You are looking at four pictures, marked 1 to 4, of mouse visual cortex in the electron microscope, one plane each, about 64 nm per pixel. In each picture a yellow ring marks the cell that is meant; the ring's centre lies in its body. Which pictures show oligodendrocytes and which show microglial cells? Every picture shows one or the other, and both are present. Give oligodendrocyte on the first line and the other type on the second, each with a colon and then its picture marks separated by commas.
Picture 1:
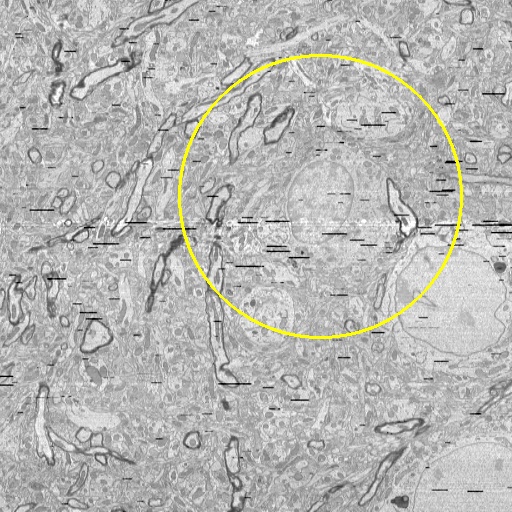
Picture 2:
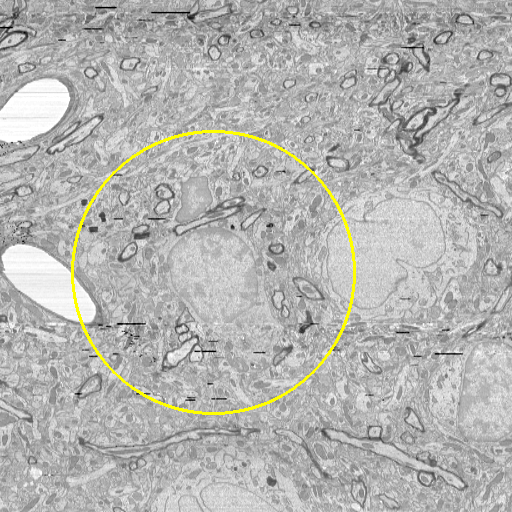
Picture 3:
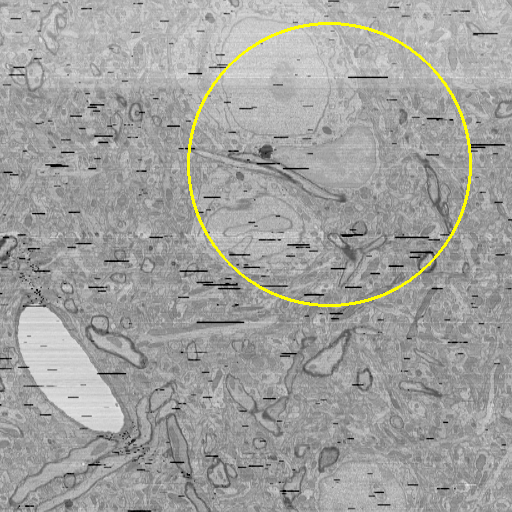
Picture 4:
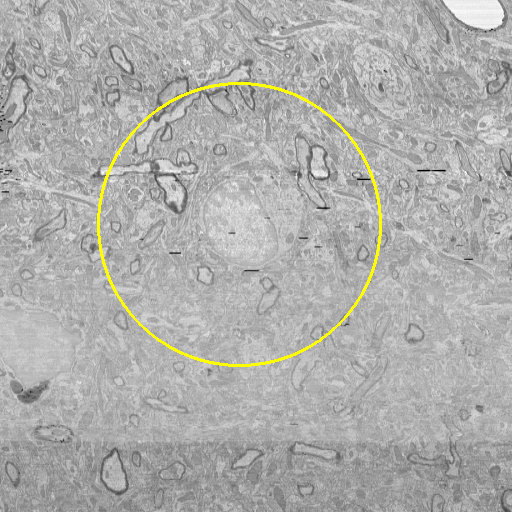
oligodendrocyte: 1, 2, 4
microglial cell: 3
